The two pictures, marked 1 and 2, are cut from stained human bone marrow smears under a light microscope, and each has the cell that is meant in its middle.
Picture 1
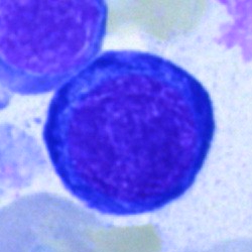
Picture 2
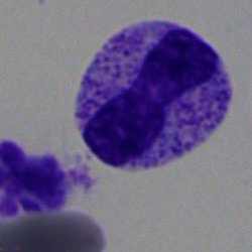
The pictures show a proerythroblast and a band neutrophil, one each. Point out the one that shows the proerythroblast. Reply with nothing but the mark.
1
